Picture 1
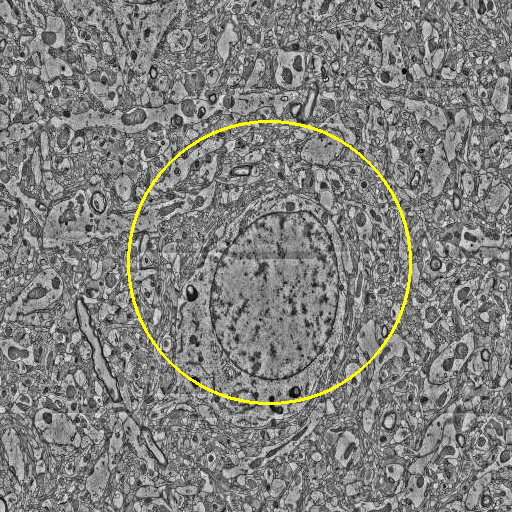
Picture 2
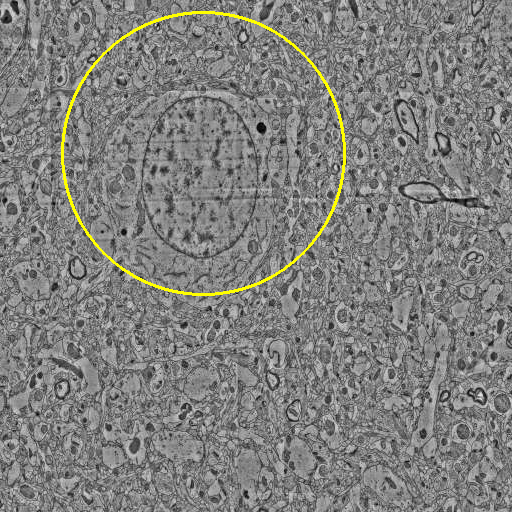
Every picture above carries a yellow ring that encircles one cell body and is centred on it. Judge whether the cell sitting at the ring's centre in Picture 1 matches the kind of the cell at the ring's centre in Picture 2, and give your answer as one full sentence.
Yes, the cells centred in the rings of Pictures 1 and 2 belong to one kind.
